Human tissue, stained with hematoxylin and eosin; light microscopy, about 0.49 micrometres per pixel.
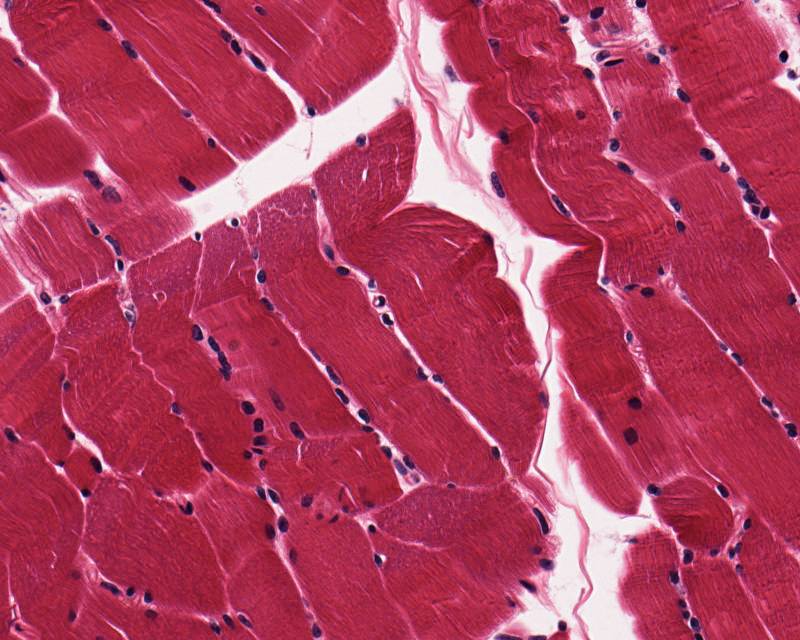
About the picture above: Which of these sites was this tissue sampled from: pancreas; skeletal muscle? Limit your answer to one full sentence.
The human tissue in this section was sampled from the skeletal muscle.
